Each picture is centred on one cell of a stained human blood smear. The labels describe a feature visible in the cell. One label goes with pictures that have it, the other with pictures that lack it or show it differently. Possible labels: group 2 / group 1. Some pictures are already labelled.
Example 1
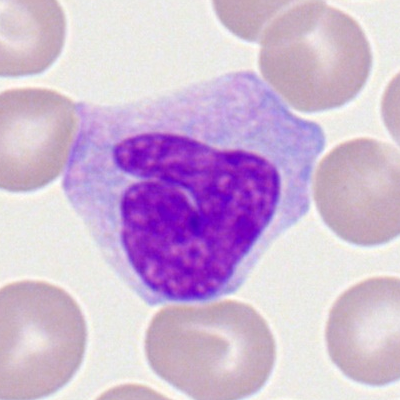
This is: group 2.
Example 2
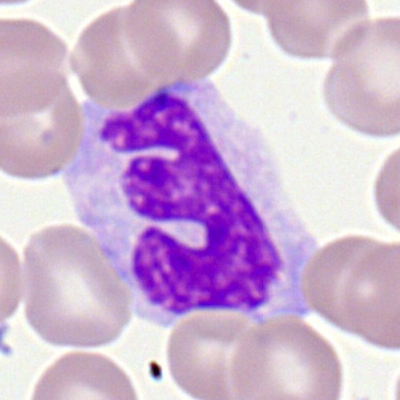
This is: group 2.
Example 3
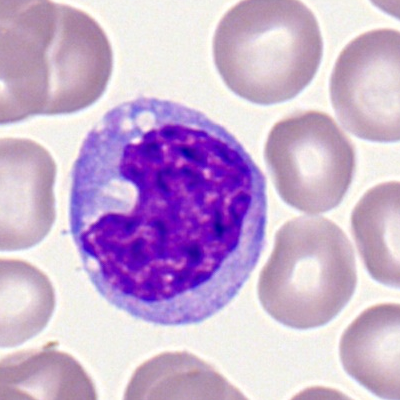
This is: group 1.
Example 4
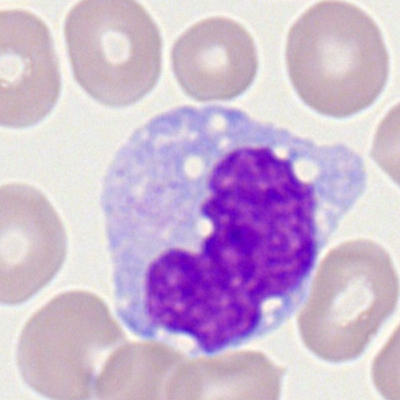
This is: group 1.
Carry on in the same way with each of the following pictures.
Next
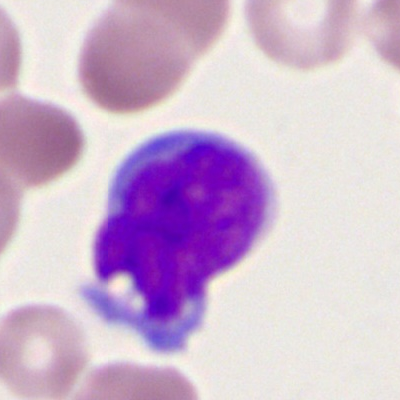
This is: group 1.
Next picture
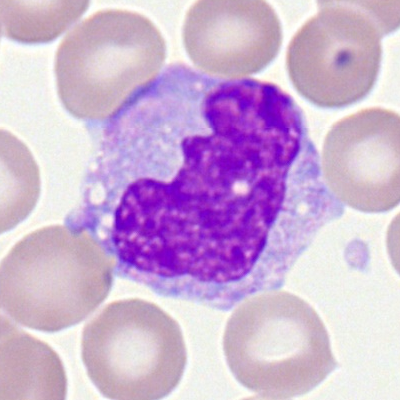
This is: group 1.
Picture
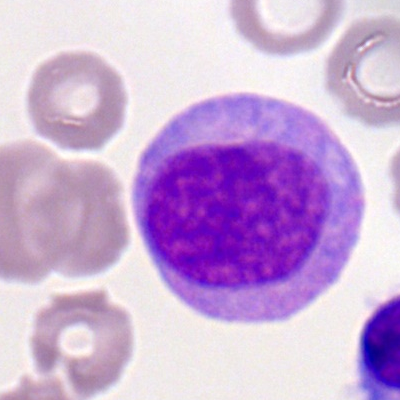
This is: group 2.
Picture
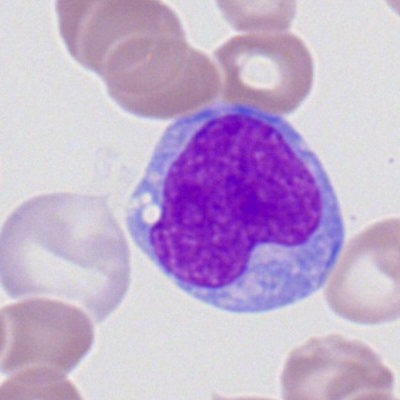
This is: group 1.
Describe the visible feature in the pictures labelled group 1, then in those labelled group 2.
group 1: vacuoles present; group 2: no vacuoles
